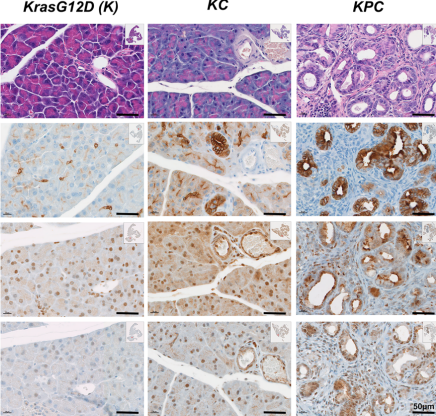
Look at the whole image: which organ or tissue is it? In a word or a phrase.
Pancreas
